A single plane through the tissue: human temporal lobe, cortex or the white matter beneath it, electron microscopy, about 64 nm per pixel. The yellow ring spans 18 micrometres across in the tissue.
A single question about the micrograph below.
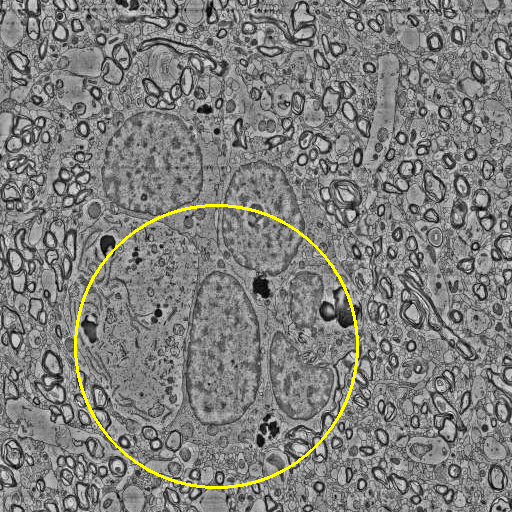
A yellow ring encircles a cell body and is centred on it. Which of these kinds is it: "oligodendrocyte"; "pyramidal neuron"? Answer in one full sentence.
The cell body at the centre of the yellow ring belongs to an oligodendrocyte.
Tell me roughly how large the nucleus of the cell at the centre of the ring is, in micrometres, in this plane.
Roughly 10 by 5 micrometres; in this plane, clearly longer than it is wide.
